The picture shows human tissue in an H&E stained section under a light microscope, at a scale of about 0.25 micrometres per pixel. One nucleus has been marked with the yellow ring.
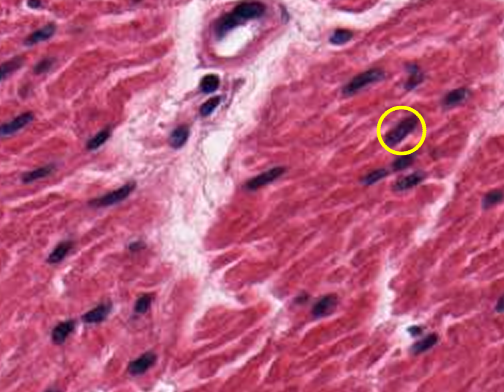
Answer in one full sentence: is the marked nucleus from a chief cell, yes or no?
No, it is not the nucleus of a chief cell that has been marked.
